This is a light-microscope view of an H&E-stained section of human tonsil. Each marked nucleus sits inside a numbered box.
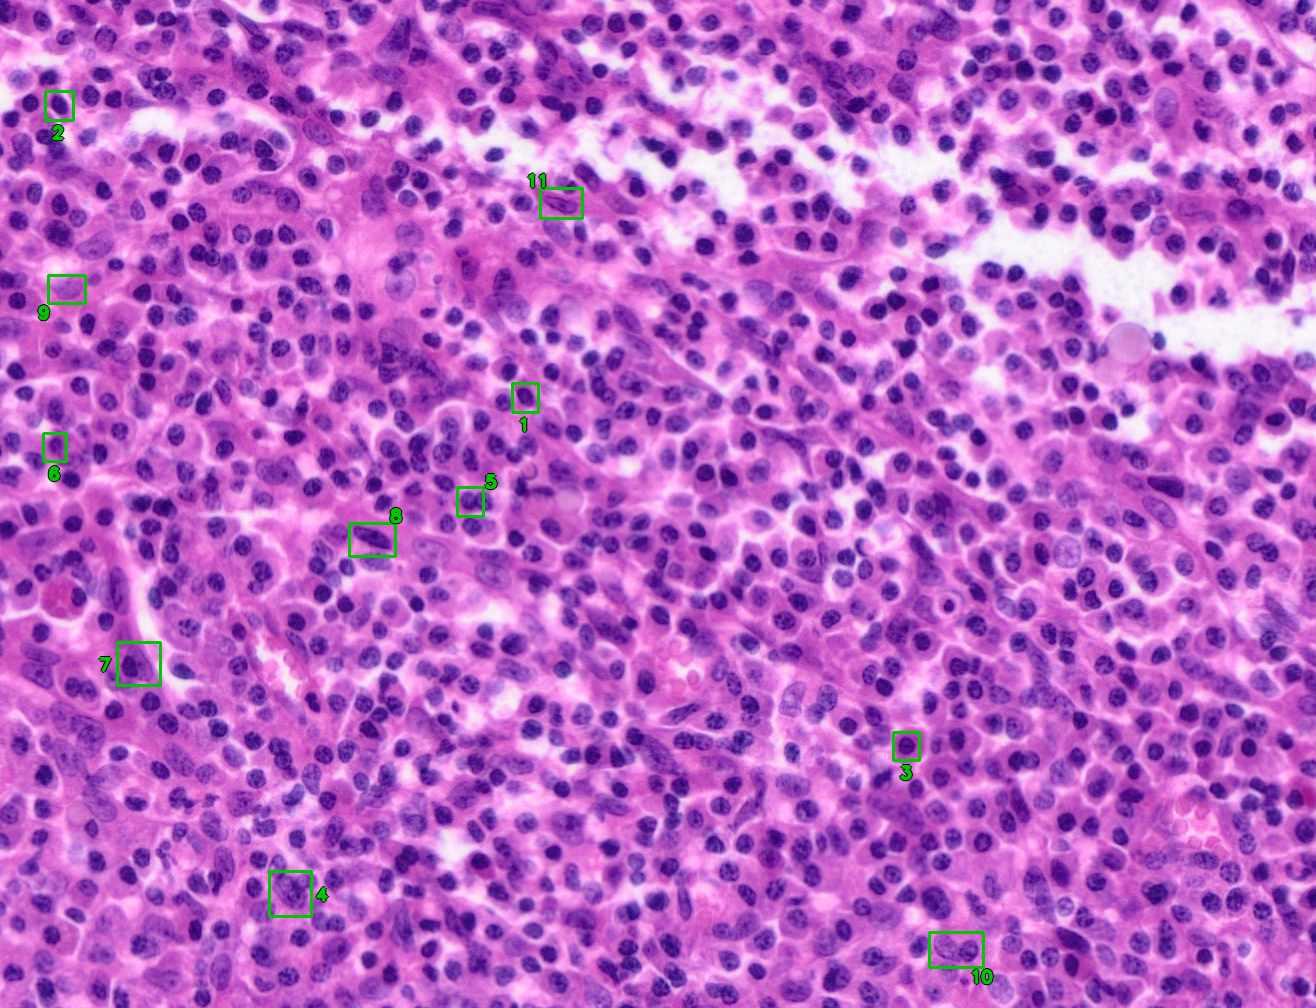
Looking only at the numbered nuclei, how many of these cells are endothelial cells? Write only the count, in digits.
0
